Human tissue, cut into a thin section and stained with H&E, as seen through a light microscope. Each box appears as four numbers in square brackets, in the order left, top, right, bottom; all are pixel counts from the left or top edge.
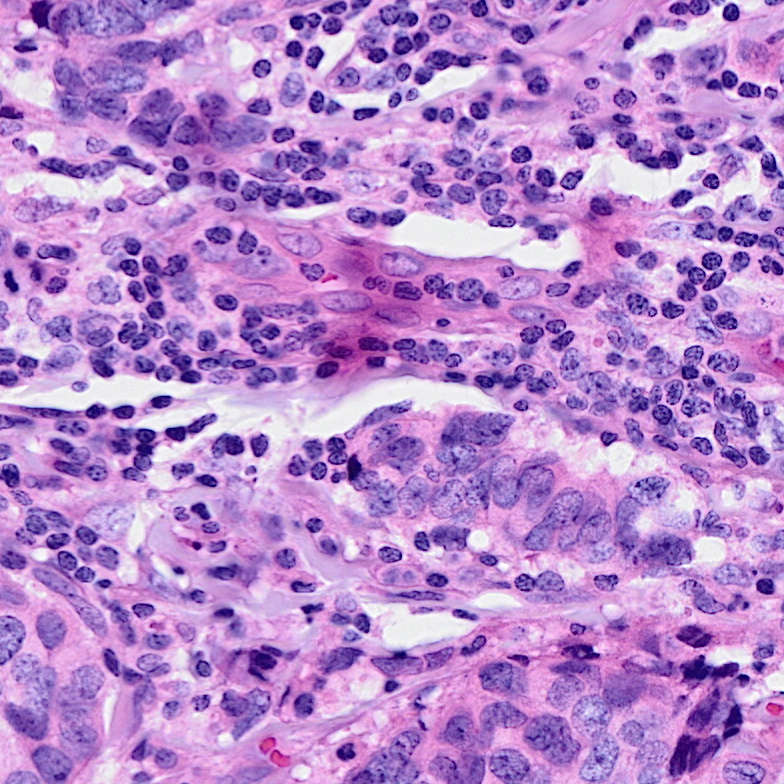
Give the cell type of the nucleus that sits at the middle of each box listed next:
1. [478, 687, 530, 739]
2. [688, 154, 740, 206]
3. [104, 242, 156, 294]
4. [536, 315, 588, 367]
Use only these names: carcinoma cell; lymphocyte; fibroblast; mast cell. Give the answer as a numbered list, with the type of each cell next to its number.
1. carcinoma cell
2. lymphocyte
3. lymphocyte
4. lymphocyte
